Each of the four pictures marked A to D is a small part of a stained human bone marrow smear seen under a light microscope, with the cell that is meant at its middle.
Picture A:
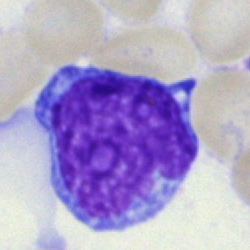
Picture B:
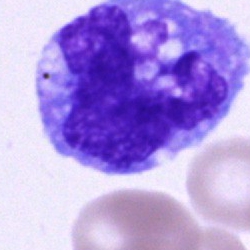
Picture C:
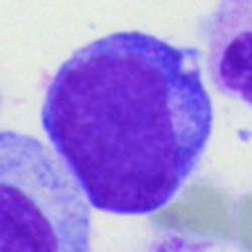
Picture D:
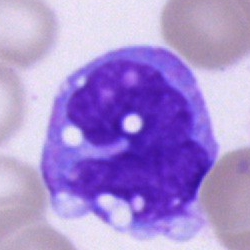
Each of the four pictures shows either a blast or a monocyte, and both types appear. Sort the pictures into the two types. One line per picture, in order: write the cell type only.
blast
monocyte
blast
monocyte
